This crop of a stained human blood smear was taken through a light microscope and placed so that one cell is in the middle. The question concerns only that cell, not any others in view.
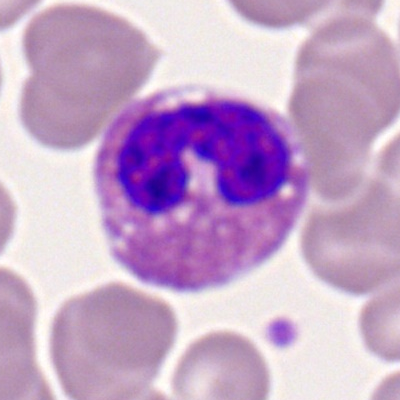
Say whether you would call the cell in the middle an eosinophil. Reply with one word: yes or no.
yes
